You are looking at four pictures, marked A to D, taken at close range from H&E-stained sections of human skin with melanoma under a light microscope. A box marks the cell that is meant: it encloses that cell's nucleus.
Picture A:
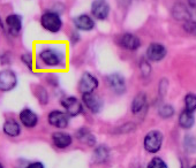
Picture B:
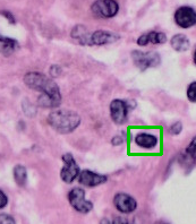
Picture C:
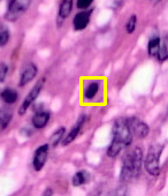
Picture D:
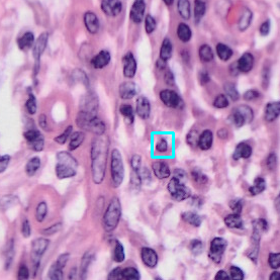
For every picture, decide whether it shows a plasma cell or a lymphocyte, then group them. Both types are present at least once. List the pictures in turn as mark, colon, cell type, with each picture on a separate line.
A: lymphocyte
B: lymphocyte
C: lymphocyte
D: plasma cell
